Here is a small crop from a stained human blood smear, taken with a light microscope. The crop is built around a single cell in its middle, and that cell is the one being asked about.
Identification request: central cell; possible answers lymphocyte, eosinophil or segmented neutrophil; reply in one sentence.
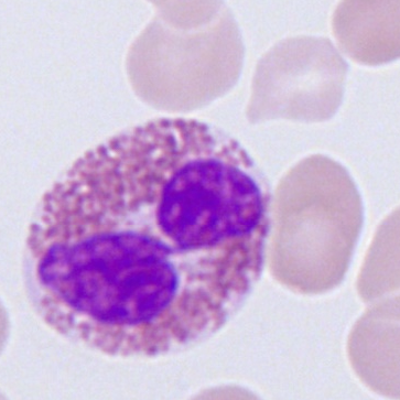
In the middle of this smear crop is an eosinophil.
